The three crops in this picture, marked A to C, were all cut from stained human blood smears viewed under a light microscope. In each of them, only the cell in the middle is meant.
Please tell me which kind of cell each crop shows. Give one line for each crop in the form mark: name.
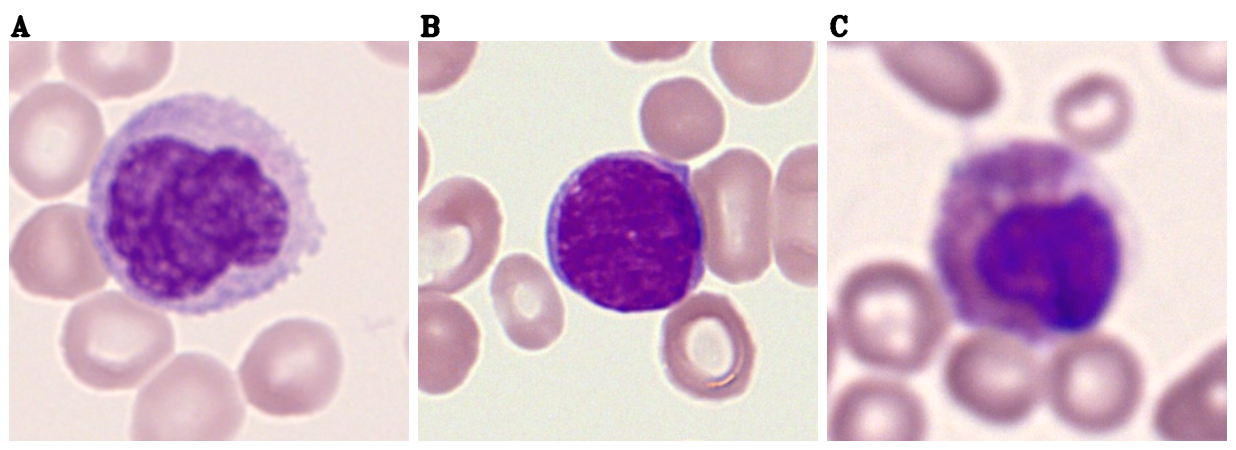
A: monocyte
B: myeloblast
C: eosinophil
